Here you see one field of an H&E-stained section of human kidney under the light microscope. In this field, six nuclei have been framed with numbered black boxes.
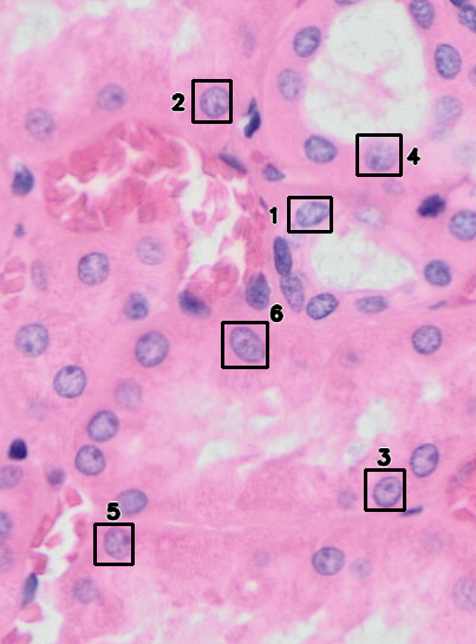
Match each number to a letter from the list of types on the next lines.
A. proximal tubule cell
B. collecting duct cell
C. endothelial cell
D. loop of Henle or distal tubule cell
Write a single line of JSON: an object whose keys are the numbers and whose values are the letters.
{"1": "B", "2": "A", "3": "A", "4": "D", "5": "A", "6": "A"}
